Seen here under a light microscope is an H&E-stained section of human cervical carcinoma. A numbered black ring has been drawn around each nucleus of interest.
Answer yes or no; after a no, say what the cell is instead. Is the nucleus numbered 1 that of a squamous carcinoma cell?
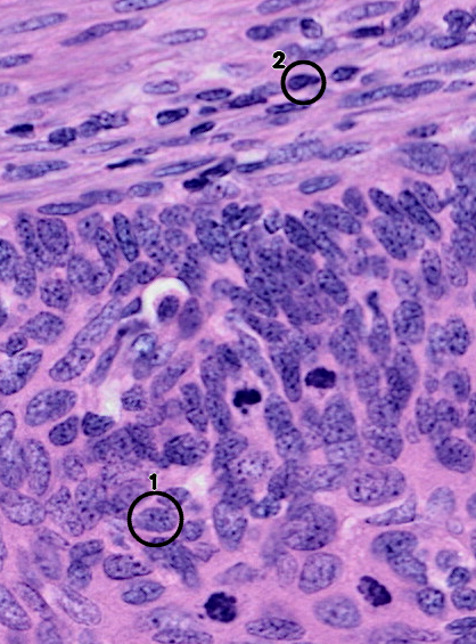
Yes.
